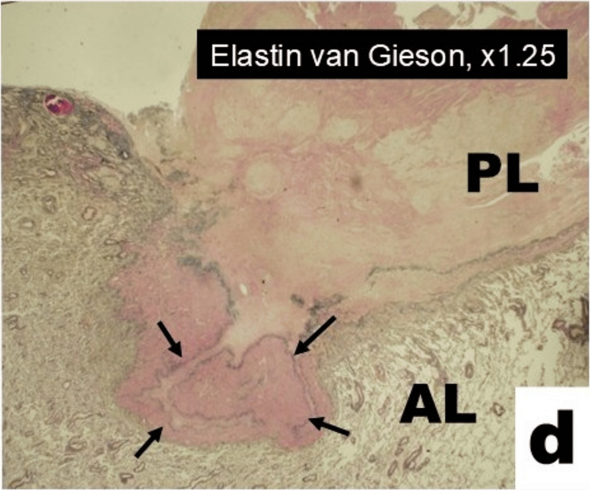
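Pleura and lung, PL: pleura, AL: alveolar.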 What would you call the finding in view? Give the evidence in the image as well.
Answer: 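Rounded atelectasis. A rounded pink mass of pleural tissue pushes down into the lung.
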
